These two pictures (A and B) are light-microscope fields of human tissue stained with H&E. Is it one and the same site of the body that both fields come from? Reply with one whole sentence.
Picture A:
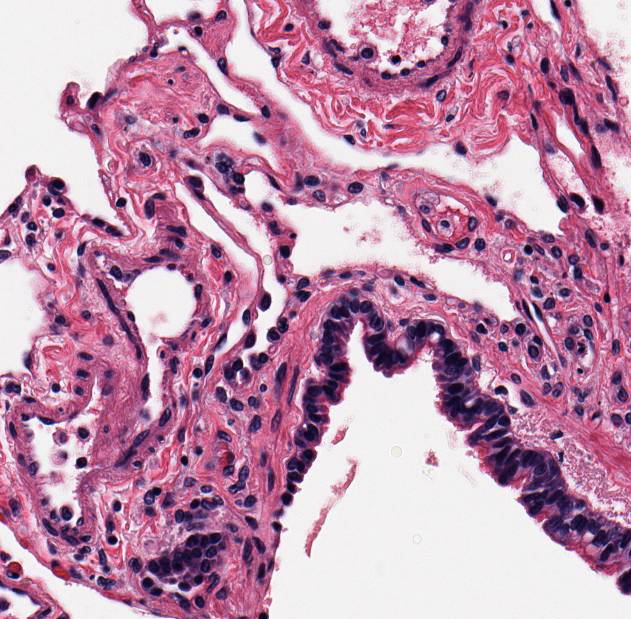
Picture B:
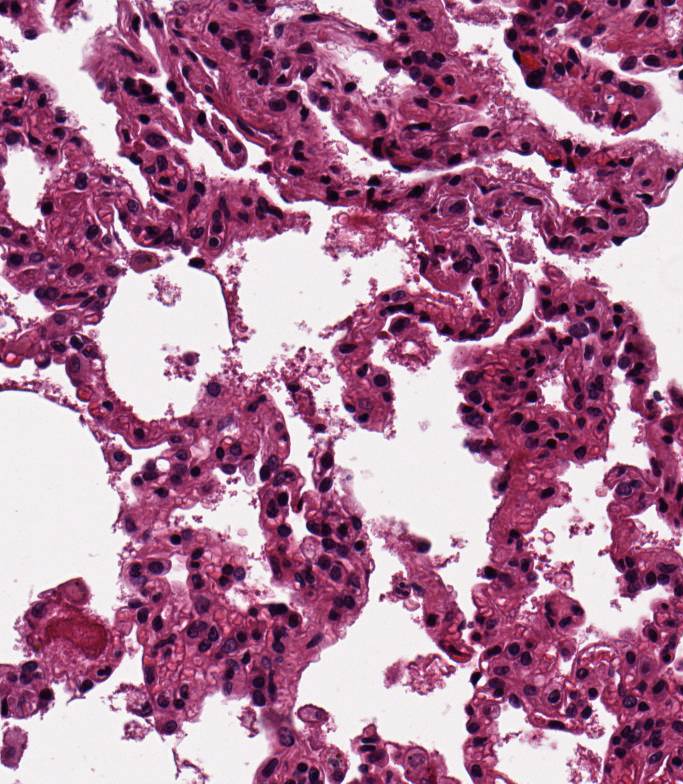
Yes, they come from the same site of the body: both come from the lung.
